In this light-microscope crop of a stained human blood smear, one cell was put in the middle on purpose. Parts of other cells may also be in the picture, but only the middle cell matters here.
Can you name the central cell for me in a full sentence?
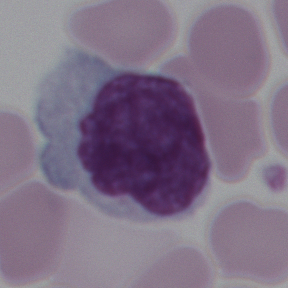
The cell around which this crop is centred is a monocyte.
